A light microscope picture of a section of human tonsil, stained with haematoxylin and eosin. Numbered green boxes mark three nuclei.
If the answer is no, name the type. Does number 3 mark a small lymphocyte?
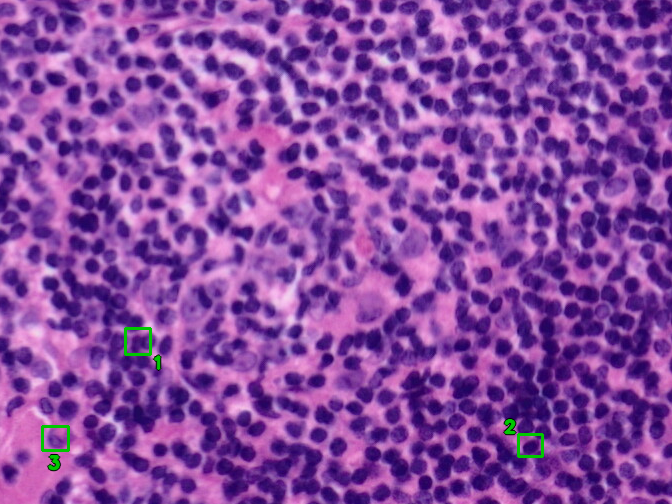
No, it is an endothelial cell.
